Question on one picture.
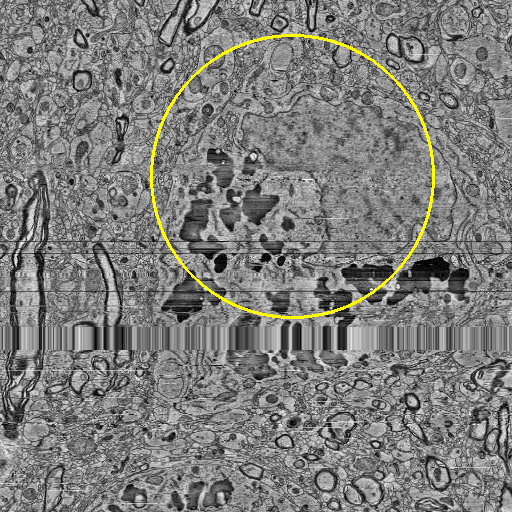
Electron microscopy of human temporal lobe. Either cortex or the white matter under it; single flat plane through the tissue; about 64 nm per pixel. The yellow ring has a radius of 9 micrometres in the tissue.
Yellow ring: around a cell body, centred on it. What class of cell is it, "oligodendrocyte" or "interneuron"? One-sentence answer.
This is an interneuron, the cell the ring is centred on.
